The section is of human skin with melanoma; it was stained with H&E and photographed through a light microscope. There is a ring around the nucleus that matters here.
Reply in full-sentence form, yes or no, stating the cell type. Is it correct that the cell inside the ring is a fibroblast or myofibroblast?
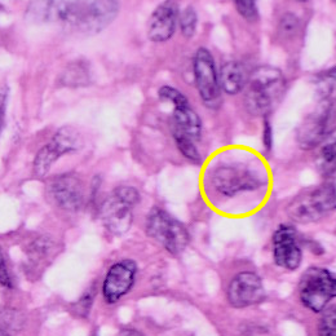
No, the cell inside the ring is a melanoma cell; calling it a fibroblast or myofibroblast would be wrong.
